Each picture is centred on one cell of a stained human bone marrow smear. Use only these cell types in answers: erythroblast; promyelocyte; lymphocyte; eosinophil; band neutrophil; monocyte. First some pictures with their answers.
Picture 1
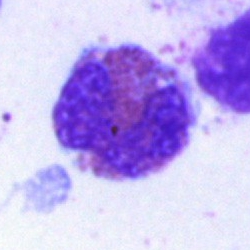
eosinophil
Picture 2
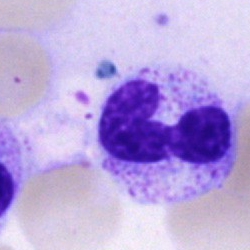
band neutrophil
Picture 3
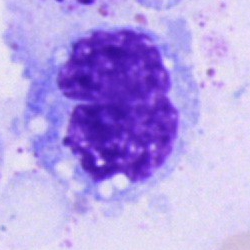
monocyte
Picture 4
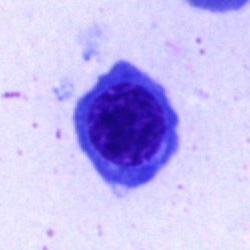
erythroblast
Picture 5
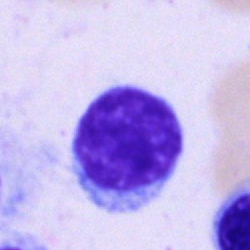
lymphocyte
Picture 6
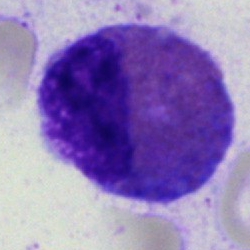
eosinophil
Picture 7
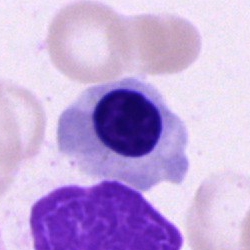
erythroblast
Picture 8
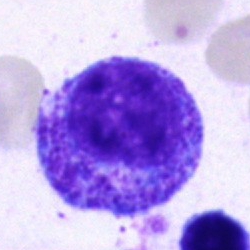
promyelocyte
